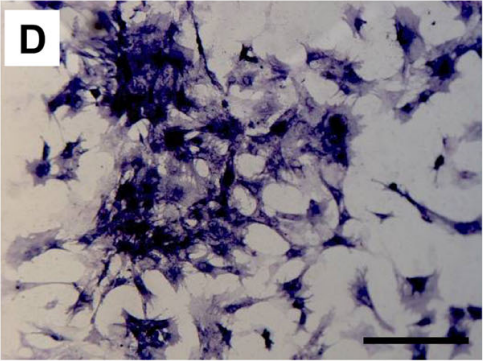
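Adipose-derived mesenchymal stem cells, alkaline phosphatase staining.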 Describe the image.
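Cultured cells with osteoblasts stained dark blue-purple. The stained cells are irregular, spindle-shaped or stellate, with slender processes reaching toward neighbours. They crowd into a dense dark cluster at the upper left and thin out into a loose network elsewhere. Pale unstained areas lie between the stained cells.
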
